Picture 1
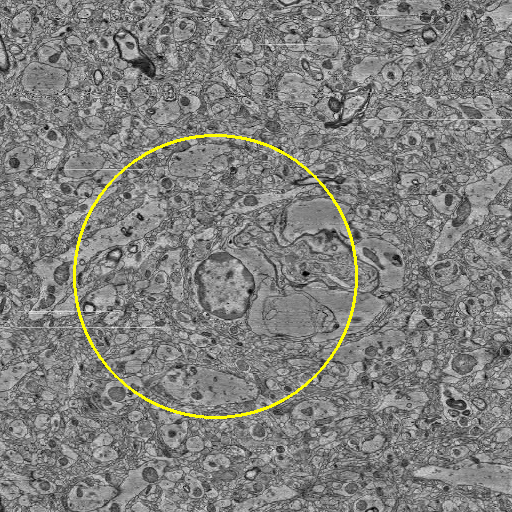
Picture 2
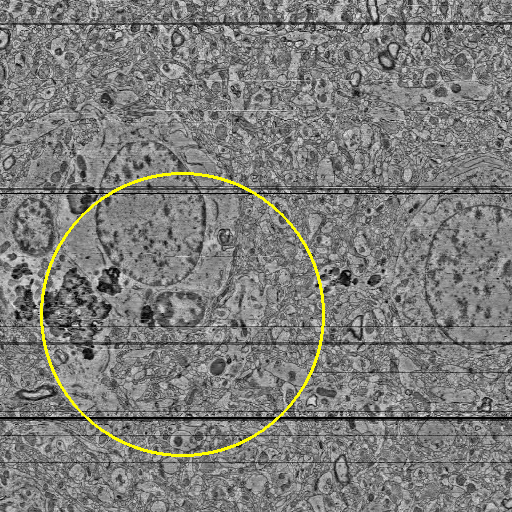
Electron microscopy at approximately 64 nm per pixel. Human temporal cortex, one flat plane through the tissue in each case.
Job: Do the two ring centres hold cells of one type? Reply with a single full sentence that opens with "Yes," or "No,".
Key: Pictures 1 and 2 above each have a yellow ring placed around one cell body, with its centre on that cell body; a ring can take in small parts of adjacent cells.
Yes, the cells at the two ring centres are of one single type.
